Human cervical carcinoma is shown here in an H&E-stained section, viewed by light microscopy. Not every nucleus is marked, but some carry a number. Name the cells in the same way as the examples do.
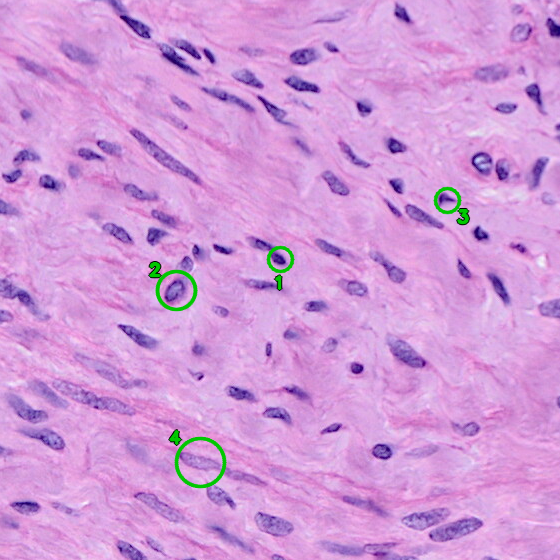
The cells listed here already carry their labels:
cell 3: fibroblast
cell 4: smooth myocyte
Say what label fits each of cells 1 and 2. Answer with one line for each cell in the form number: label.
1: fibroblast
2: smooth myocyte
